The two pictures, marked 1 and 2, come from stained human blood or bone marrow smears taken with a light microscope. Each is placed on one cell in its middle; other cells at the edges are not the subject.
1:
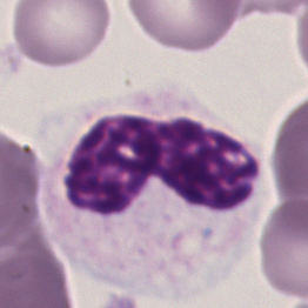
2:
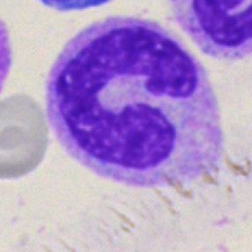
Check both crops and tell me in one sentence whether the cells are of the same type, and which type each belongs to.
Yes, band neutrophils are depicted in both crops.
